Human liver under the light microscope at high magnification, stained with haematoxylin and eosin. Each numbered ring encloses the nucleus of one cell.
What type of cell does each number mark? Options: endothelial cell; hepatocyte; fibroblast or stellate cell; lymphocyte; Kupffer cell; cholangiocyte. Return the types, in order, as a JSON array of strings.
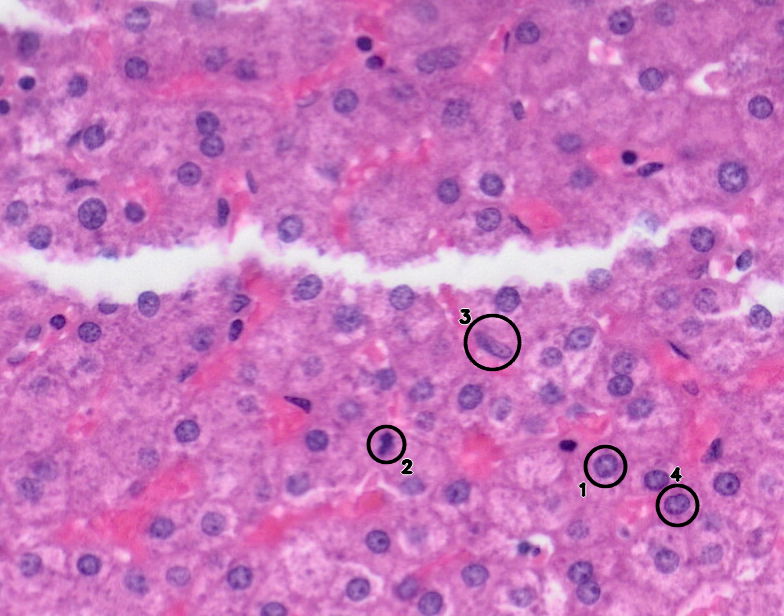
["hepatocyte", "fibroblast or stellate cell", "Kupffer cell", "hepatocyte"]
